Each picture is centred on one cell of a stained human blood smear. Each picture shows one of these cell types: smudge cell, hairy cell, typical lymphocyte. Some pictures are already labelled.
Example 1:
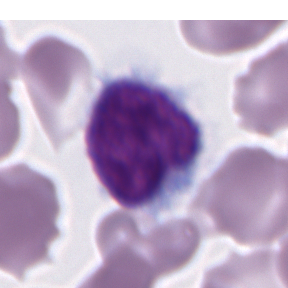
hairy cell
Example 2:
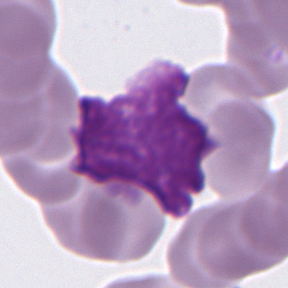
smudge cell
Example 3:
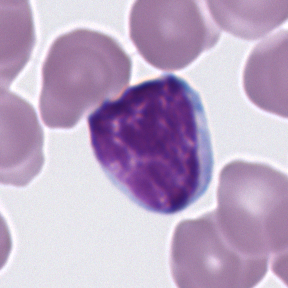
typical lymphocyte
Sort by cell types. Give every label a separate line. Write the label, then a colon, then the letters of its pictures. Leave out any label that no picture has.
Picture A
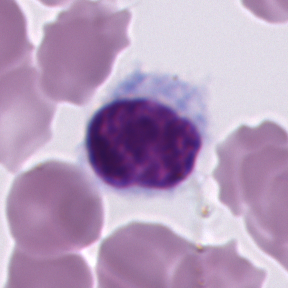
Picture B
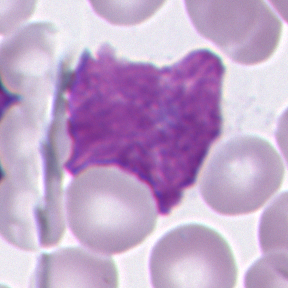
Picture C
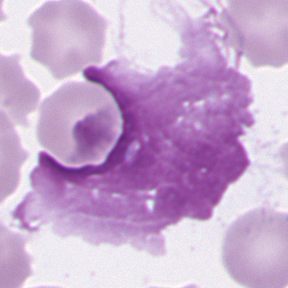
smudge cell: B, C
hairy cell: A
